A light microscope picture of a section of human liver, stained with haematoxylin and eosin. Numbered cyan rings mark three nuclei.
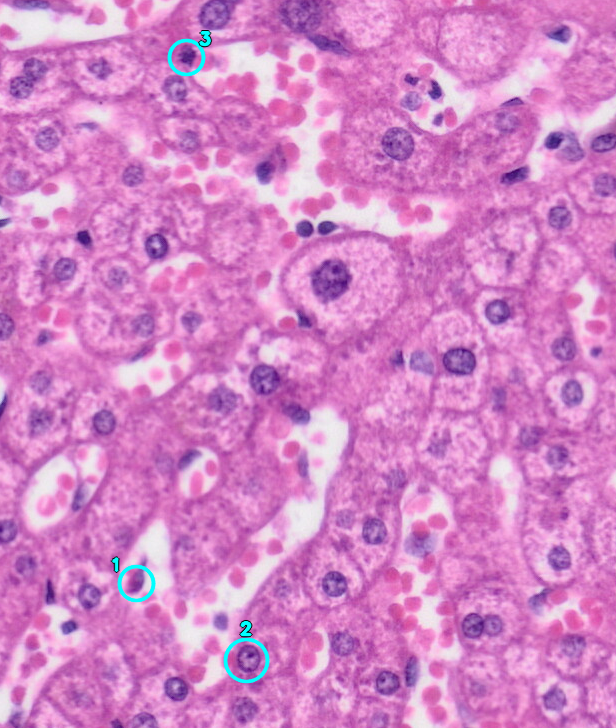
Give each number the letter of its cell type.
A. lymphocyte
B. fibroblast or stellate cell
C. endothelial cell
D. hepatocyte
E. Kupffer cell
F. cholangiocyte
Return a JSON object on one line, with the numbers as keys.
{"1": "E", "2": "D", "3": "B"}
